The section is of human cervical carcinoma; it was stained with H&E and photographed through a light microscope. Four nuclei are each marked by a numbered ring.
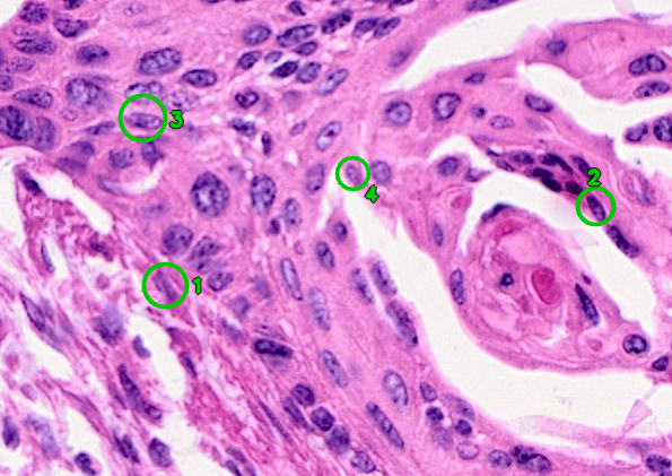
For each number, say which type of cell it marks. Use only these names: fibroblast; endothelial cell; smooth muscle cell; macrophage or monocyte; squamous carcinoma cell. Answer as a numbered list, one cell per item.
1. fibroblast
2. squamous carcinoma cell
3. squamous carcinoma cell
4. squamous carcinoma cell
